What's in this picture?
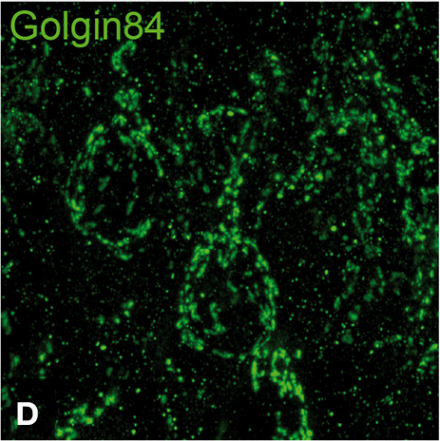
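The label outlines the perinuclear cytoplasm as a ring of short segments and dots around dark round nuclei. Strings of green fragments extend from the cell bodies into the initial parts of their processes. Fine green dots are scattered through the surrounding neuropil. The Golgi elements appear broken into many small pieces.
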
